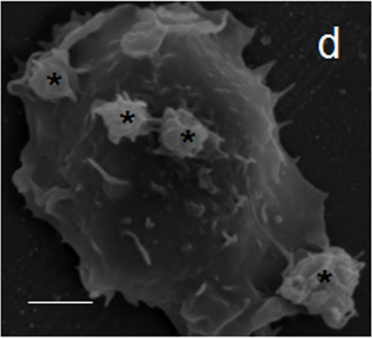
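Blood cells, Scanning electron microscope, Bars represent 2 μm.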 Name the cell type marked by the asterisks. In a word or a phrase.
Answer: Activated platelets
